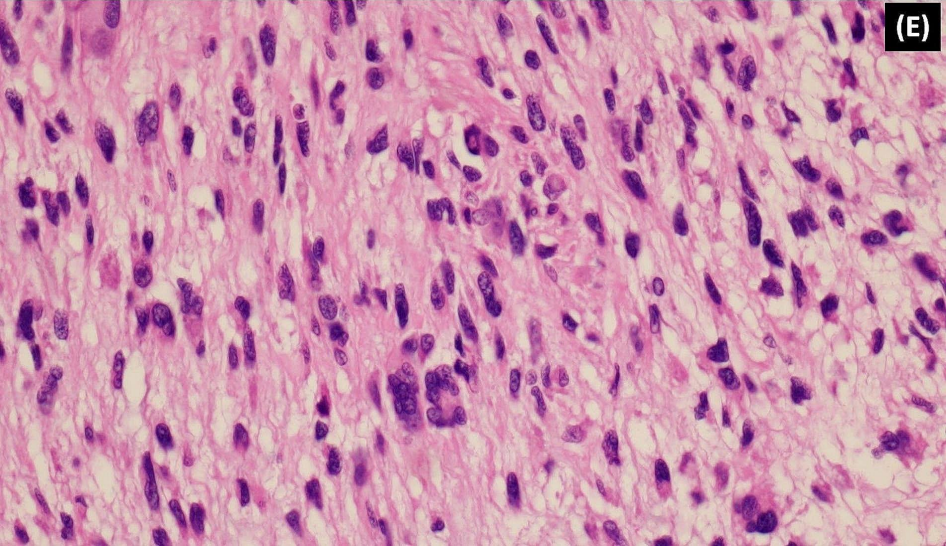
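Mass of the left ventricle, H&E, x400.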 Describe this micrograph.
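A crowded field of cells with dark purple nuclei lies in a loose, pale pink, finely vacuolated background. The nuclei vary strongly in size and shape: some are slender and spindle-like, others oval, and a few are large, irregular or clumped together and very dark. The pink cytoplasm is ample and merges with the surrounding matrix, without any orderly layering. This marked nuclear variability in a disorganised spindle-to-pleomorphic cell population fits a high-grade sarcoma.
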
